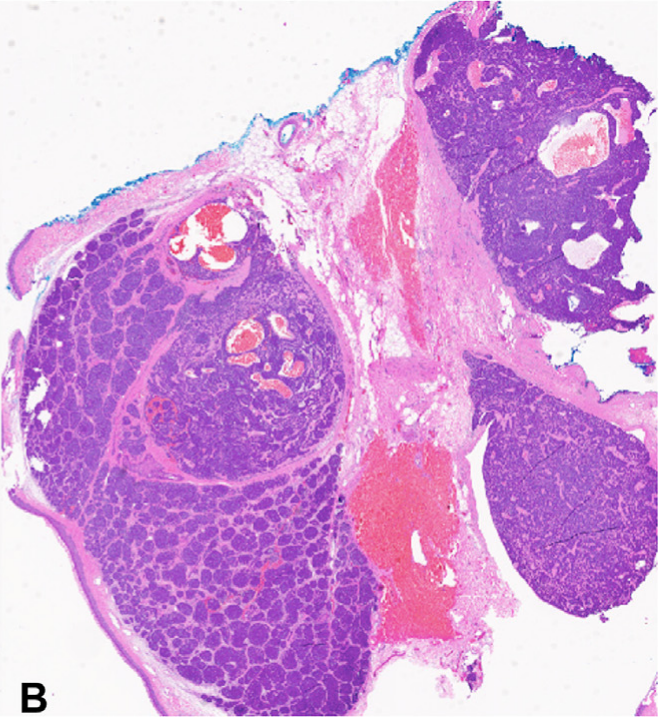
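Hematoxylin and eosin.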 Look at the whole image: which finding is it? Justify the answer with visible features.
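Multinodular basophilic tumor. Several separate rounded purple nodules lie in pale pink loose stroma.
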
